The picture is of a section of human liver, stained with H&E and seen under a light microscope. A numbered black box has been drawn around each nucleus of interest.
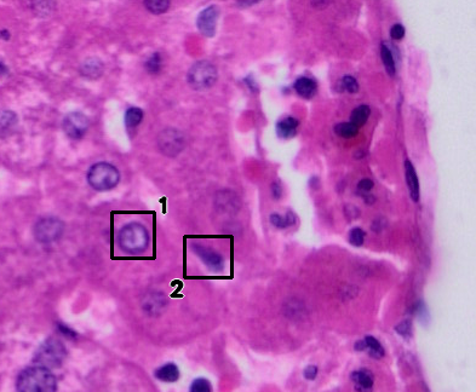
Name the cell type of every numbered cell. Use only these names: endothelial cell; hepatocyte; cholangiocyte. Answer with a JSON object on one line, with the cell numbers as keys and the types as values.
{"1": "hepatocyte", "2": "endothelial cell"}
